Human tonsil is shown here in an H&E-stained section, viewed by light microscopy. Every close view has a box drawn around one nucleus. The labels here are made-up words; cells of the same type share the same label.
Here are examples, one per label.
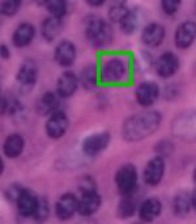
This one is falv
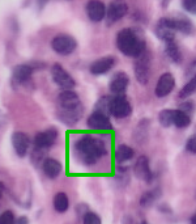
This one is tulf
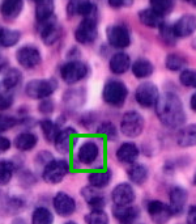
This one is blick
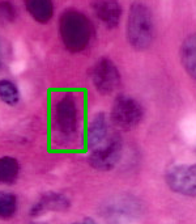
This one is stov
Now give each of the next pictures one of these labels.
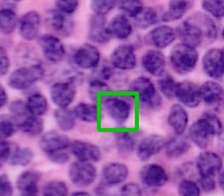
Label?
blick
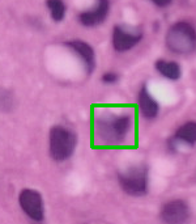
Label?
stov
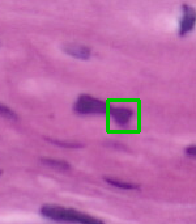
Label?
stov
